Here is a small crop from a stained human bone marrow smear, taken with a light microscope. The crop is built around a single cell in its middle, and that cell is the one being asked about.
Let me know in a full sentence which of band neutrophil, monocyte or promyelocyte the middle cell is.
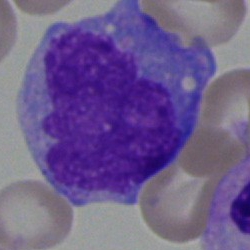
The middle of this crop holds a monocyte.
